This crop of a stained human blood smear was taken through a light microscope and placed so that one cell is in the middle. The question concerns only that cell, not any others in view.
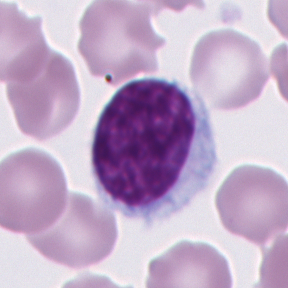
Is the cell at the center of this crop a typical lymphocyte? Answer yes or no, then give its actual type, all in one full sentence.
No, the cell in the middle is not a typical lymphocyte but a hairy cell.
